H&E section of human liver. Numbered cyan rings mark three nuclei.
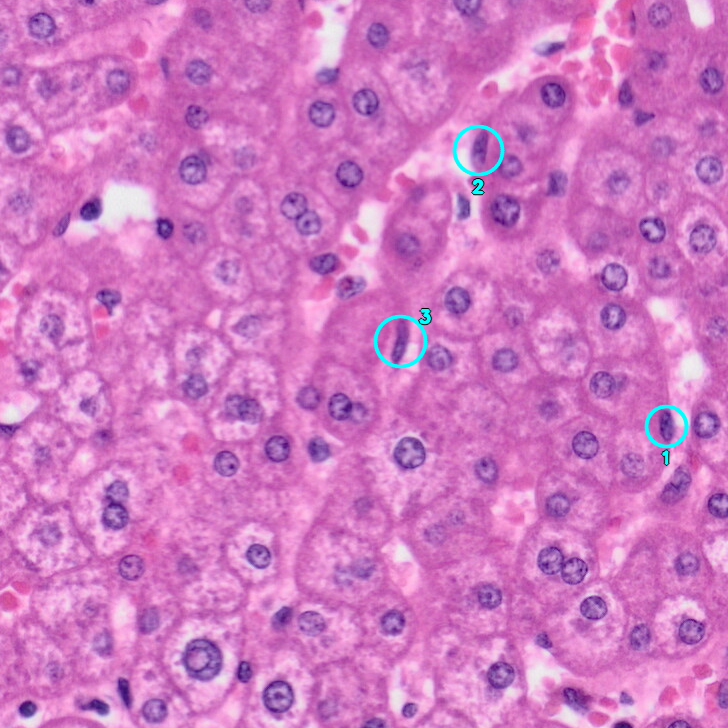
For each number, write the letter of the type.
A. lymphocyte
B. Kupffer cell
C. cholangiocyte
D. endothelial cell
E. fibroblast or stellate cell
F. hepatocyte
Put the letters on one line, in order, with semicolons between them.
E; B; B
